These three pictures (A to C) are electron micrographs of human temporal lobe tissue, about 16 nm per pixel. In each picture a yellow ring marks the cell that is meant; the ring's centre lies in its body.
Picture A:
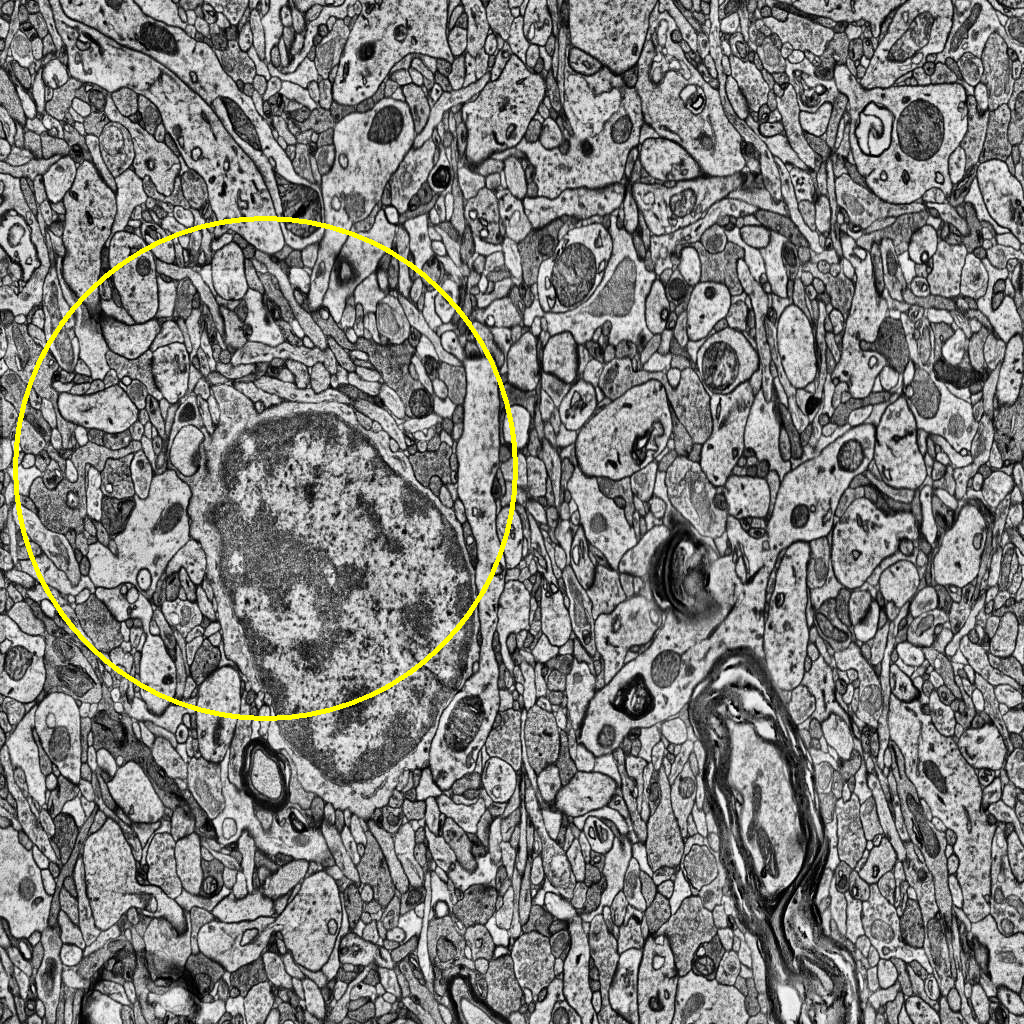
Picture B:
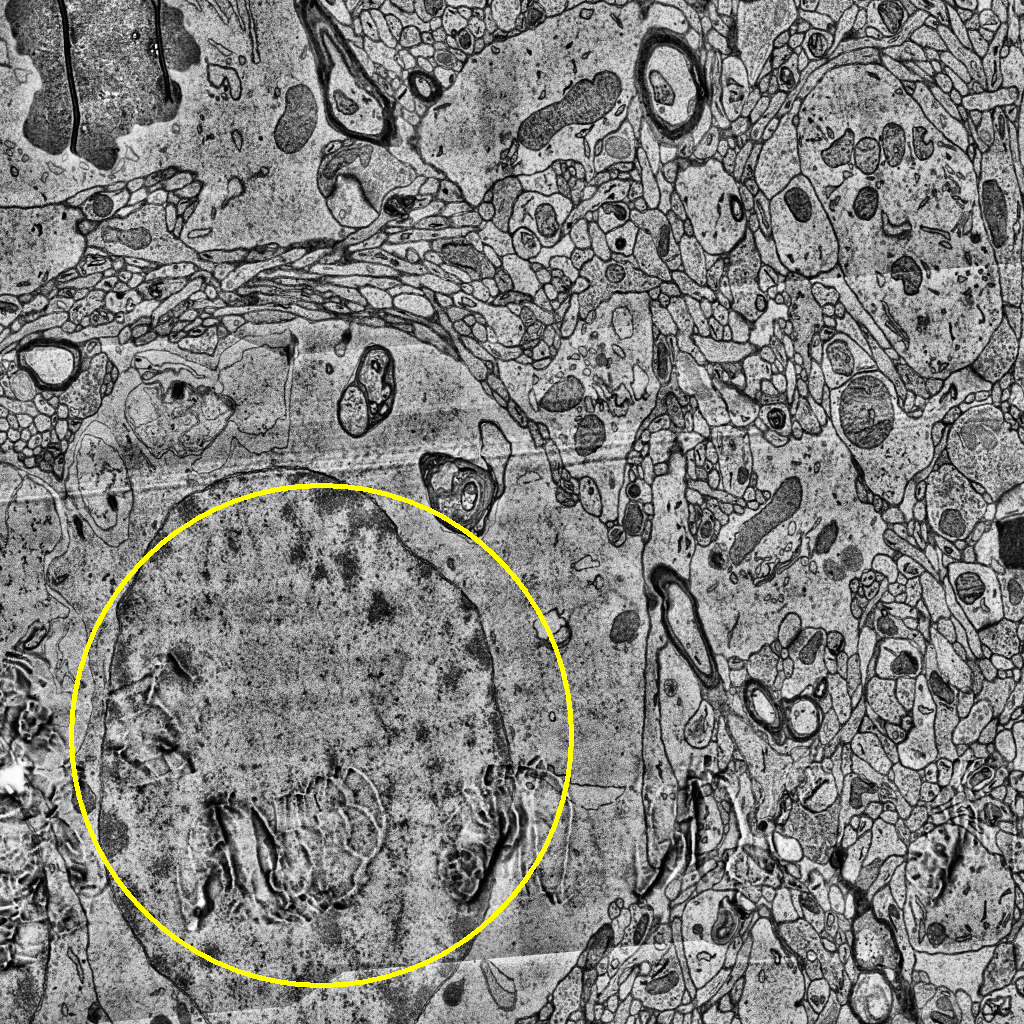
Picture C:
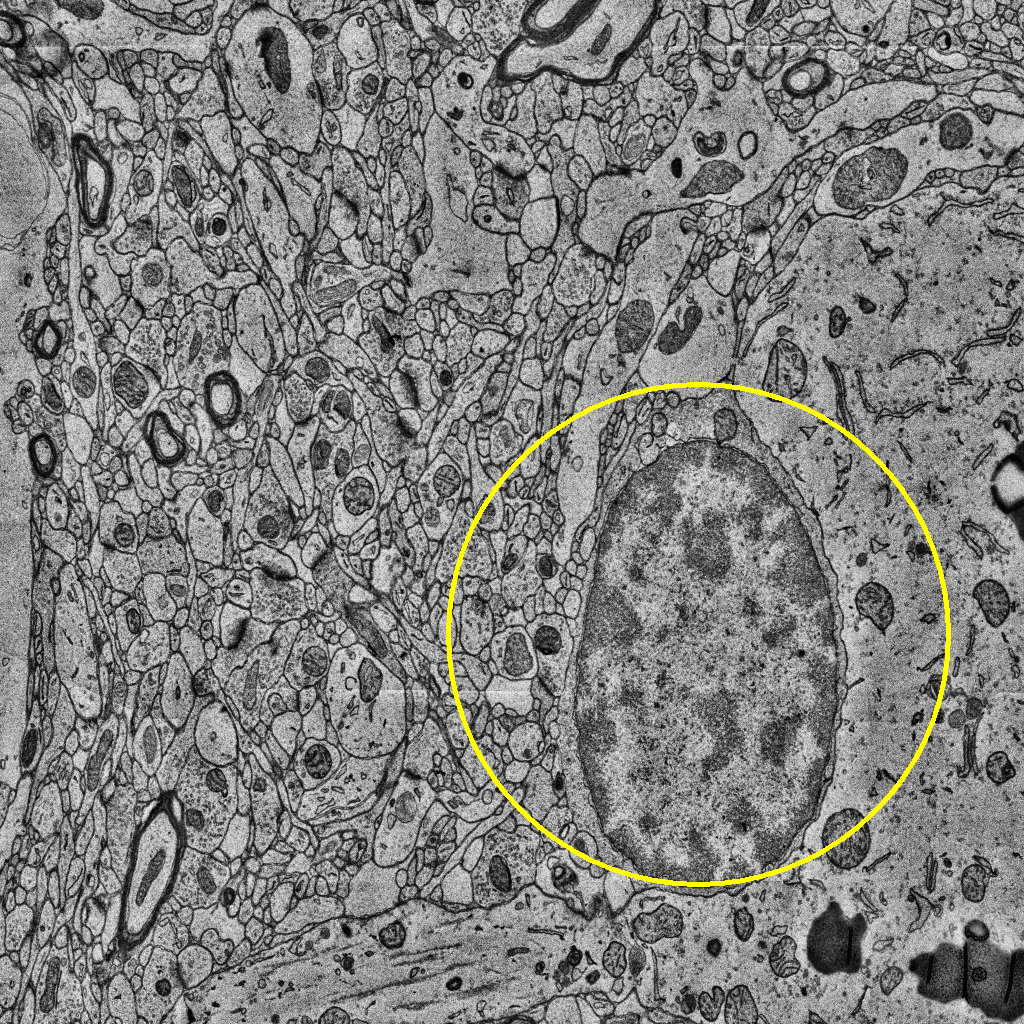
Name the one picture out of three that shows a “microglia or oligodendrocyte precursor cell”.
The picture with the “microglia or oligodendrocyte precursor cell” is A.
